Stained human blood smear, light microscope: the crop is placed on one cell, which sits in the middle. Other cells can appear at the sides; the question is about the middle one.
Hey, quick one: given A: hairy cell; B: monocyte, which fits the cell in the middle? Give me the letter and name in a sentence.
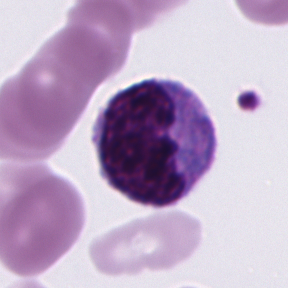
That cell in the center is a monocyte, hence option B.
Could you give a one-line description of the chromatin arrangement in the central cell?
Answer: the chromatin in this nucleus is coarsely clumped.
